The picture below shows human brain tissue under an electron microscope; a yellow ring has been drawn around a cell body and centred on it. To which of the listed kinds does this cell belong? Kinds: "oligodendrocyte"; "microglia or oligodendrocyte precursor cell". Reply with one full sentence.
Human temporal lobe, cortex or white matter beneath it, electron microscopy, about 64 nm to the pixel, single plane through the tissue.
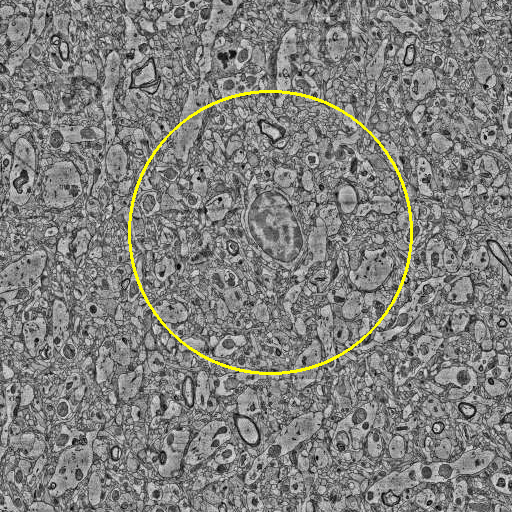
It is a microglial cell or oligodendrocyte precursor cell that the yellow ring in the picture is centred on.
